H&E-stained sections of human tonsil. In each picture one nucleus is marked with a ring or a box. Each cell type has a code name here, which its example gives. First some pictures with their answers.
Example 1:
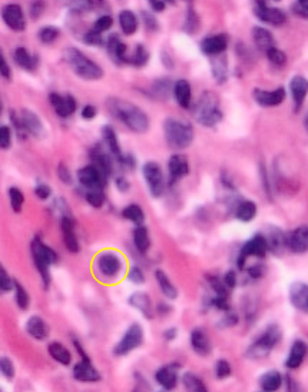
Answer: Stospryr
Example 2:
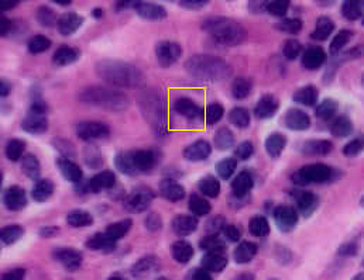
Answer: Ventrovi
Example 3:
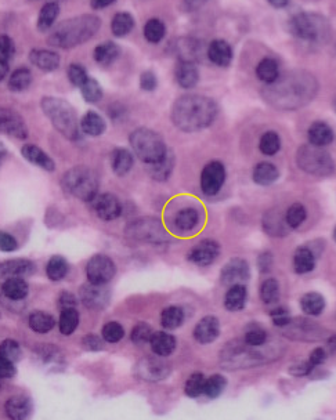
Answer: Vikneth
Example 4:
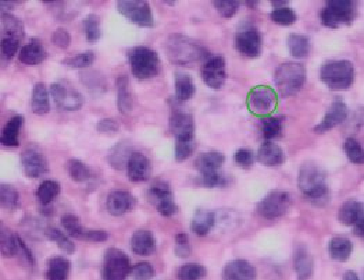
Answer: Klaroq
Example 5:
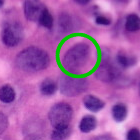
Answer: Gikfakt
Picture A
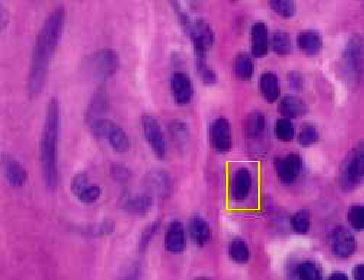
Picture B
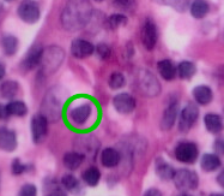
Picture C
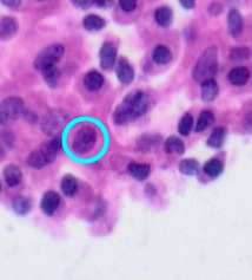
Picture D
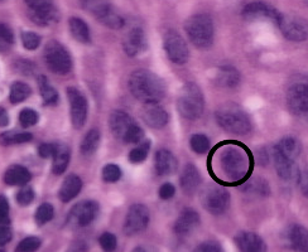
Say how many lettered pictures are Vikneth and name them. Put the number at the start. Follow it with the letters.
0, none of them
